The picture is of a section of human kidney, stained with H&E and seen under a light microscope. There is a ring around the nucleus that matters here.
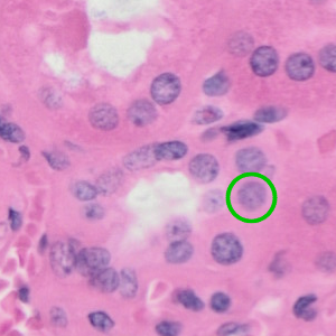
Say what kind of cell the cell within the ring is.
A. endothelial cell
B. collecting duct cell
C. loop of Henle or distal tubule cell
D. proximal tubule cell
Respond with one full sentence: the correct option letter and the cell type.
Since the cell within the ring is a collecting duct cell, the right option is B.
